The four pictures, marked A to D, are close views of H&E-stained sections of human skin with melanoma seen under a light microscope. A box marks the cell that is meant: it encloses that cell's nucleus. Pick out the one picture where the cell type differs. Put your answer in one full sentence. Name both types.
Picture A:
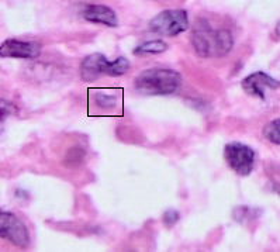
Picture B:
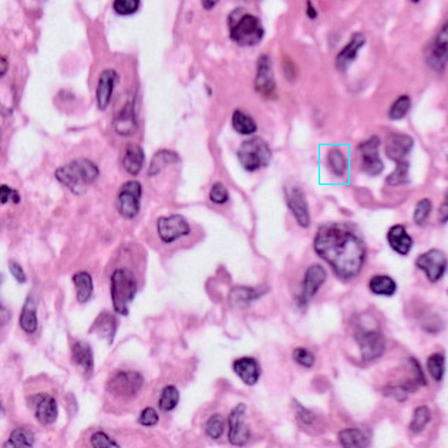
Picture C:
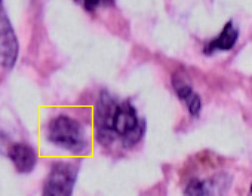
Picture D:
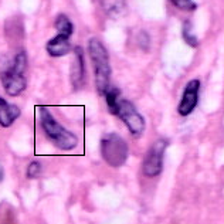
Picture C differs, because its cell is a melanoma cell and the rest are “macrophages or monocytes”.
